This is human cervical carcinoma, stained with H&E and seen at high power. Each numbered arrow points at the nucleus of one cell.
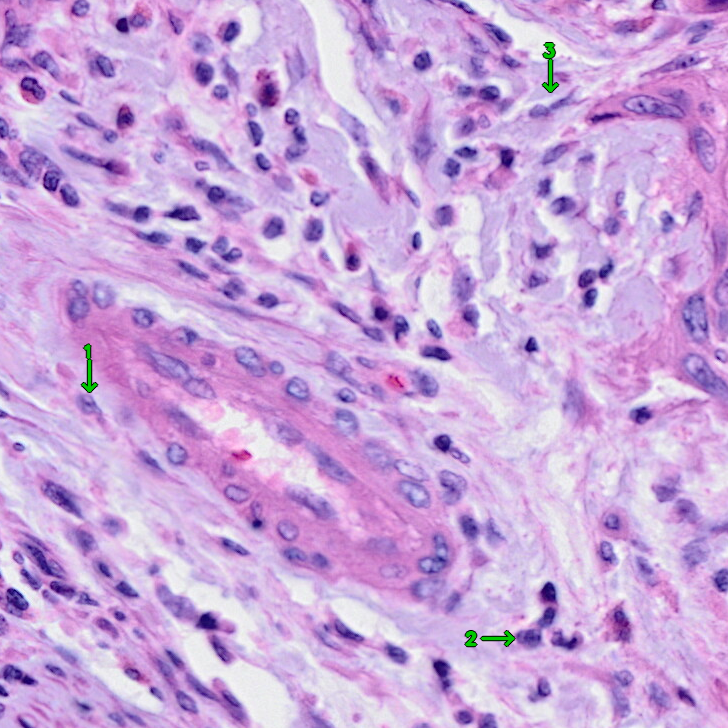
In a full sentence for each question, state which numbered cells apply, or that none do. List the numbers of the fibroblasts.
Whereas cell 3 is a fibroblast, the other numbered cells are not.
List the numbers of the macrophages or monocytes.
Only at number 1 is there a macrophage or monocyte.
